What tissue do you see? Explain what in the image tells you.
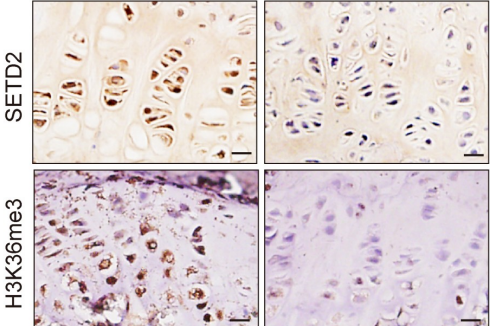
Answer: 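Rounded cells sit singly or in small groups inside clear lacunae. The cells are embedded in abundant pale, homogeneous matrix. Cells are stacked in short rows. That points to this answer: growth plate.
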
